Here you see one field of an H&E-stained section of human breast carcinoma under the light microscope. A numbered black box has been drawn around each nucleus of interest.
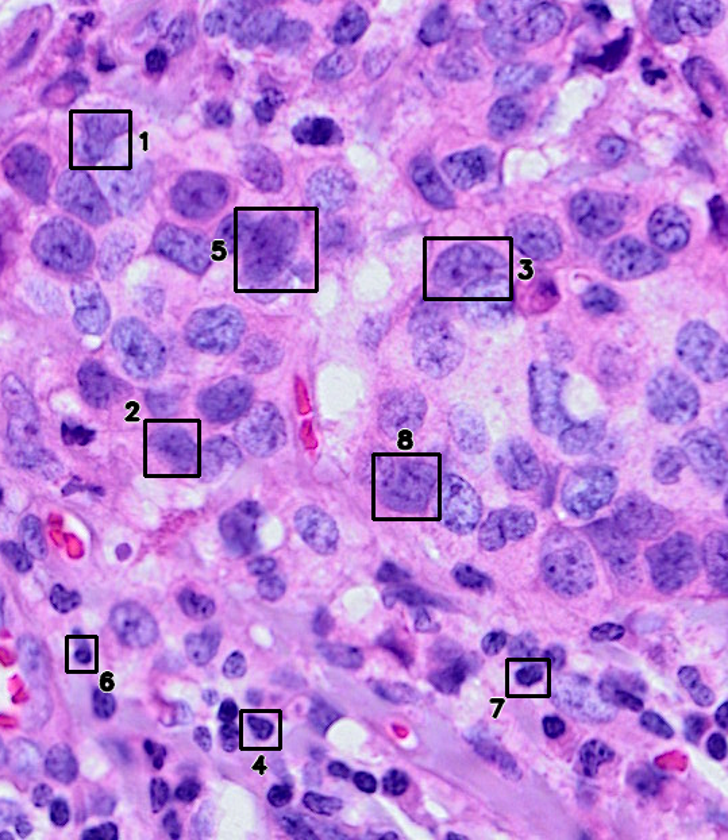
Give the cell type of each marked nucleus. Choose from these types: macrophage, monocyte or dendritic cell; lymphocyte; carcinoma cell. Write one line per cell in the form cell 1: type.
cell 1: carcinoma cell
cell 2: carcinoma cell
cell 3: carcinoma cell
cell 4: lymphocyte
cell 5: carcinoma cell
cell 6: lymphocyte
cell 7: lymphocyte
cell 8: carcinoma cell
